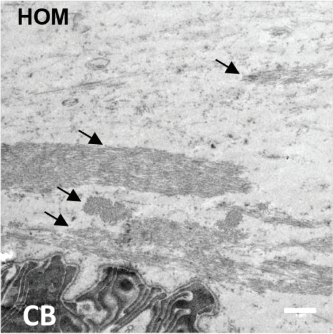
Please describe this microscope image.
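This transmission electron micrograph shows the zonule space lying next to the ciliary body, with the epithelium at the bottom and pale extracellular matrix above. The lower edge is formed by dark, deeply folded cell surfaces with convoluted membranes. Above them, the pale space holds many elongated bundles of fine parallel fibrils, several of them broad and densely packed, running roughly in the same direction. Smaller fibril groups and scattered fine filaments lie between the larger bundles.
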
